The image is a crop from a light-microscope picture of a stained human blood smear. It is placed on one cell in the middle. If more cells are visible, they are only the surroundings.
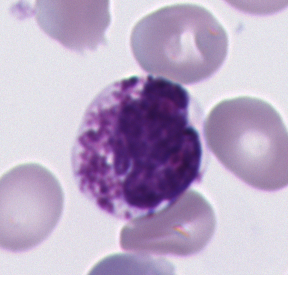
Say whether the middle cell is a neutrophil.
no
